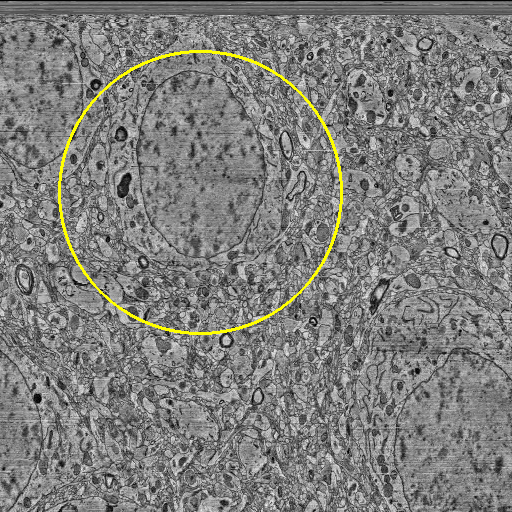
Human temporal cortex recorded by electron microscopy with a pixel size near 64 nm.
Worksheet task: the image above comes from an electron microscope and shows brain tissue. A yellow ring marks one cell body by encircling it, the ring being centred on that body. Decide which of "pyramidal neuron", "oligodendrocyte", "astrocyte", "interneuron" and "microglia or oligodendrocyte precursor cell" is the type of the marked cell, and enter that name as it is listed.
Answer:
pyramidal neuron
